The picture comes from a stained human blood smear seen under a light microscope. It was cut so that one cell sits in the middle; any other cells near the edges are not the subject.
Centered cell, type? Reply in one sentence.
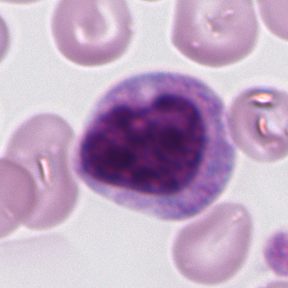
The central element of this crop is a cell, namely a metamyelocyte.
